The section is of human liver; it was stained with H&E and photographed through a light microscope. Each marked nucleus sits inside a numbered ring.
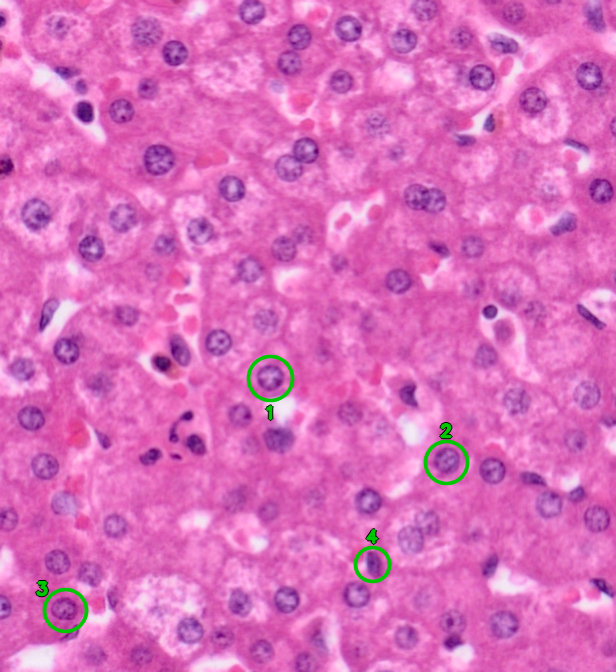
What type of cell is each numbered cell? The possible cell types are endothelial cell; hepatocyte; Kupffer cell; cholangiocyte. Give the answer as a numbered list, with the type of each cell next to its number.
1. hepatocyte
2. hepatocyte
3. hepatocyte
4. endothelial cell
